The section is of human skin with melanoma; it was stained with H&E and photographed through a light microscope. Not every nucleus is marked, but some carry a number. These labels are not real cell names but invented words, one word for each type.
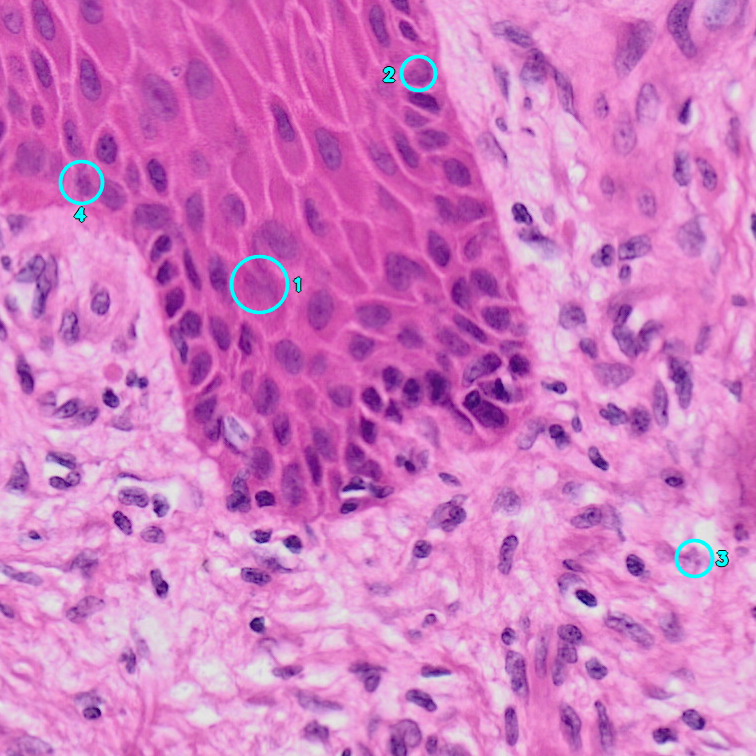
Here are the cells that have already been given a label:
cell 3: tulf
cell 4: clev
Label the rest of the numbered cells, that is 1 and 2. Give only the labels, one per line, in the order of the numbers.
clev
clev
